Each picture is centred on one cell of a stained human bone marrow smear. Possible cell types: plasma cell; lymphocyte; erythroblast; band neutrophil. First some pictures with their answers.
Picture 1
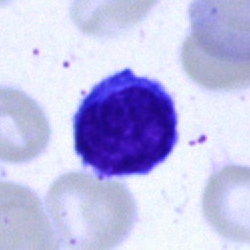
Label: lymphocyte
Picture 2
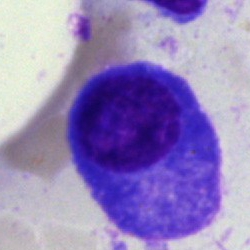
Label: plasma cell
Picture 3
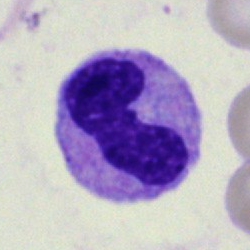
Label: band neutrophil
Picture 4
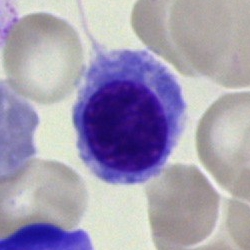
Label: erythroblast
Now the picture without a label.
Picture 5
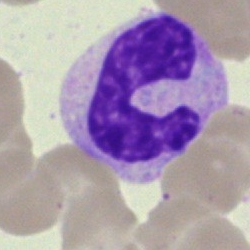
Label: band neutrophil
